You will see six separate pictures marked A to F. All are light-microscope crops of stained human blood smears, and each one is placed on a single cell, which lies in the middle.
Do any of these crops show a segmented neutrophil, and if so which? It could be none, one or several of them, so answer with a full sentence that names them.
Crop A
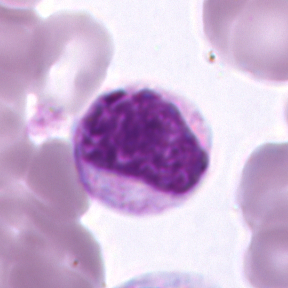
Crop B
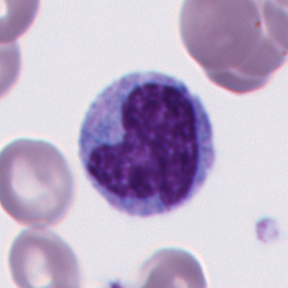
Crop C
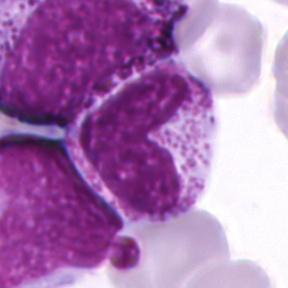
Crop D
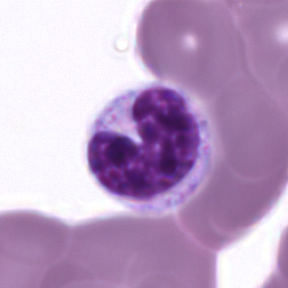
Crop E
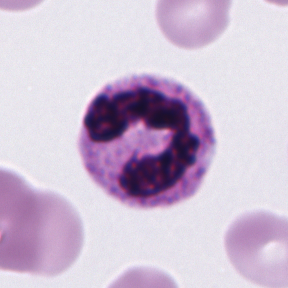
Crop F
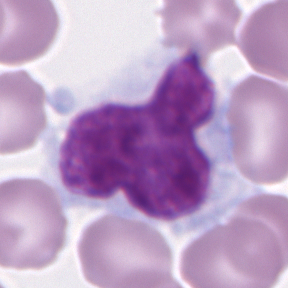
Looking across the set, crop E alone shows a segmented neutrophil.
